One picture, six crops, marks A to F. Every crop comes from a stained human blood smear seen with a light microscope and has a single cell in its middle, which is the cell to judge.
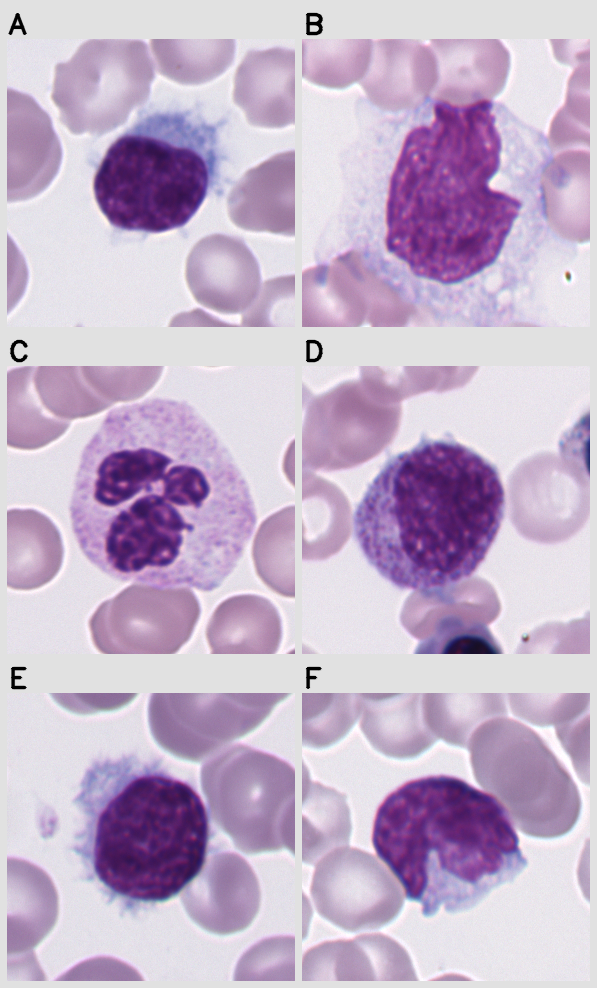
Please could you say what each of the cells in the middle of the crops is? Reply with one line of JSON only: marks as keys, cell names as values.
{"A": "hairy cell", "B": "monocyte", "C": "segmented neutrophil", "D": "myelocyte", "E": "hairy cell", "F": "monocyte"}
